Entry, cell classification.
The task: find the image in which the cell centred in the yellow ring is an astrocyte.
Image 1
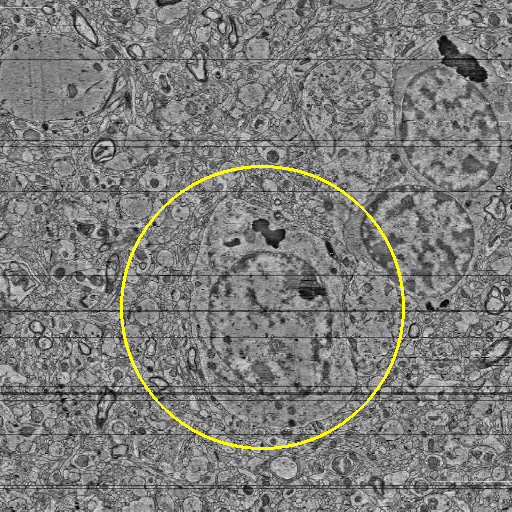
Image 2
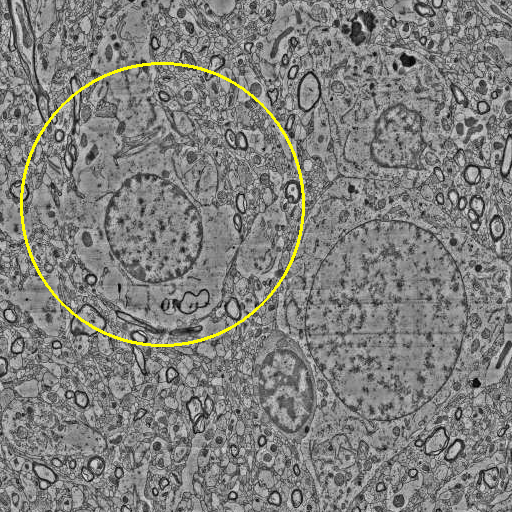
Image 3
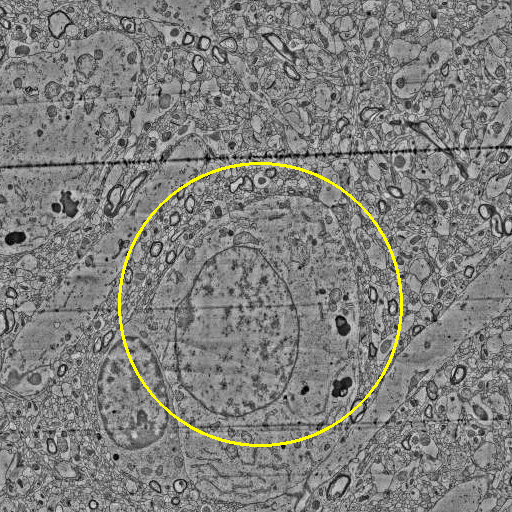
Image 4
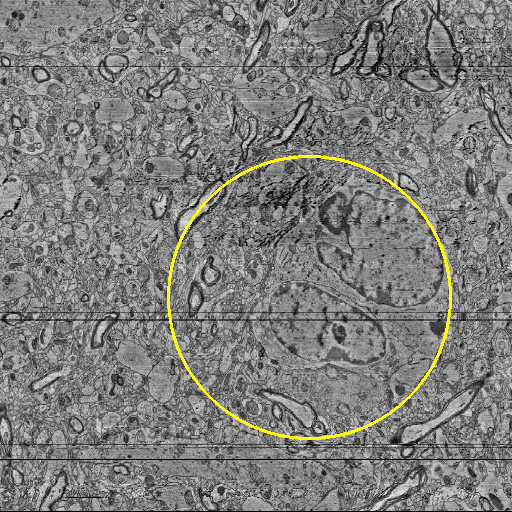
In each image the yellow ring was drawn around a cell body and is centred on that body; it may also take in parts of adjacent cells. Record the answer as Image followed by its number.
Image 2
